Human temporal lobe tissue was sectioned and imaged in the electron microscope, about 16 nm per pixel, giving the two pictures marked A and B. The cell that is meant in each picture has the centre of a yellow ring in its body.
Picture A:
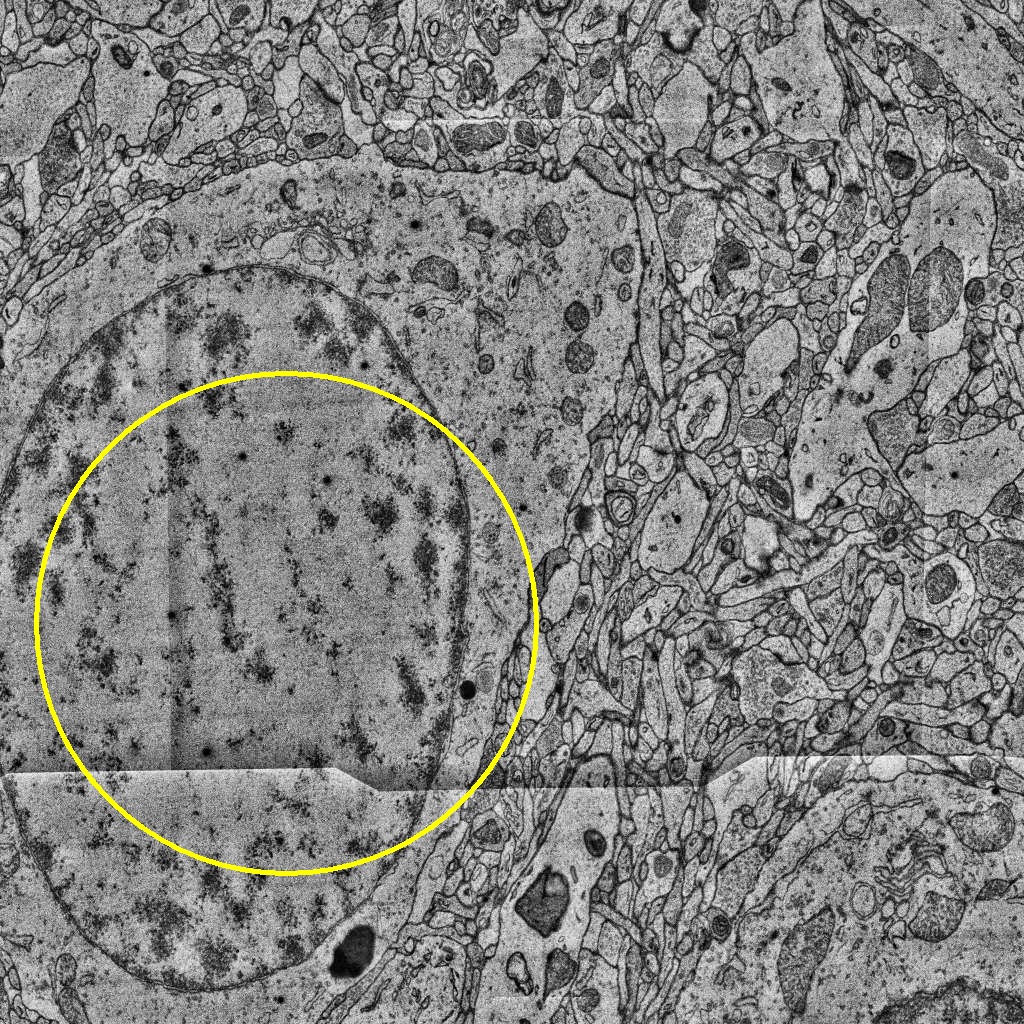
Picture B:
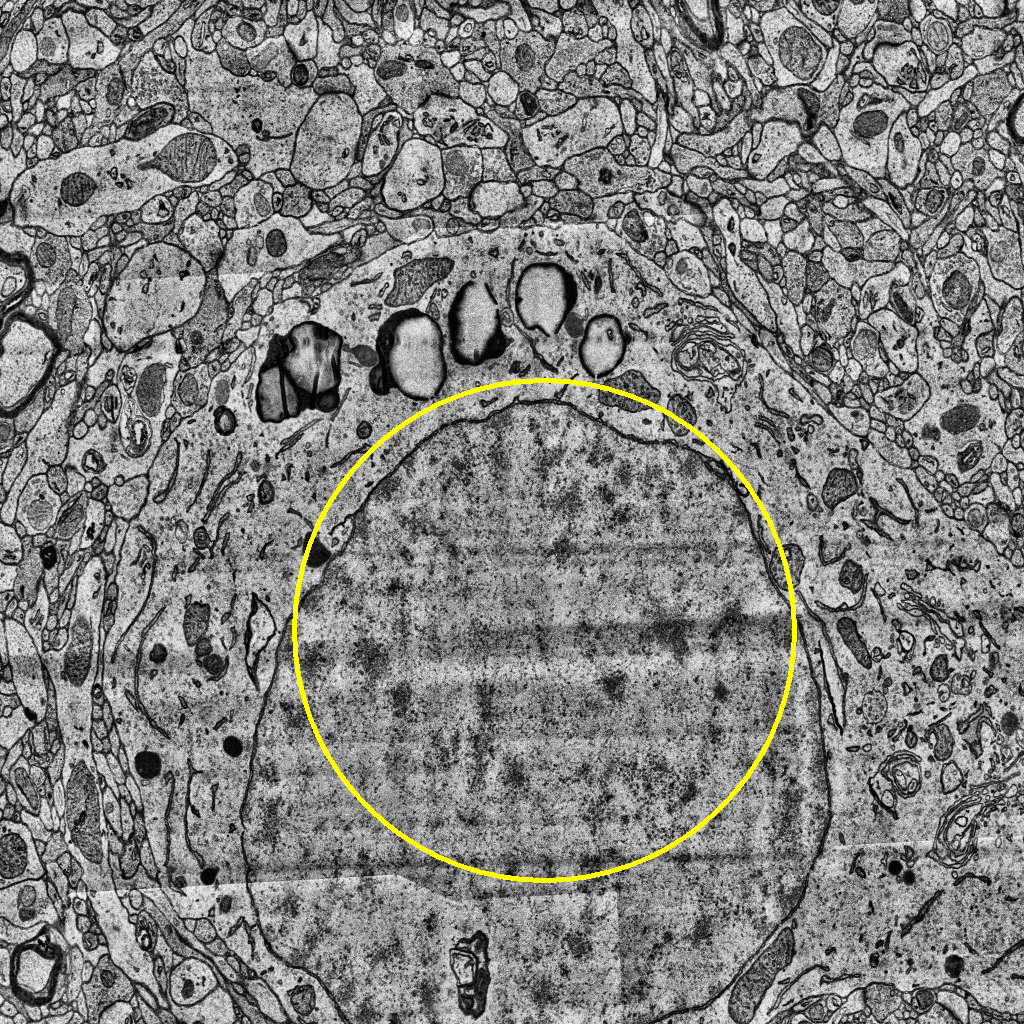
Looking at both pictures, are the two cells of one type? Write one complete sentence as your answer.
Yes, both are pyramidal neurons.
